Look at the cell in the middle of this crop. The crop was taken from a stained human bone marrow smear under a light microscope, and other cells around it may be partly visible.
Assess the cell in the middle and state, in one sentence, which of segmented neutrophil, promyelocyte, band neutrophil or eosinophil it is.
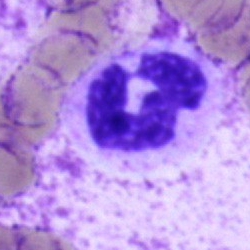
The cell sitting right in the middle is a segmented neutrophil.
